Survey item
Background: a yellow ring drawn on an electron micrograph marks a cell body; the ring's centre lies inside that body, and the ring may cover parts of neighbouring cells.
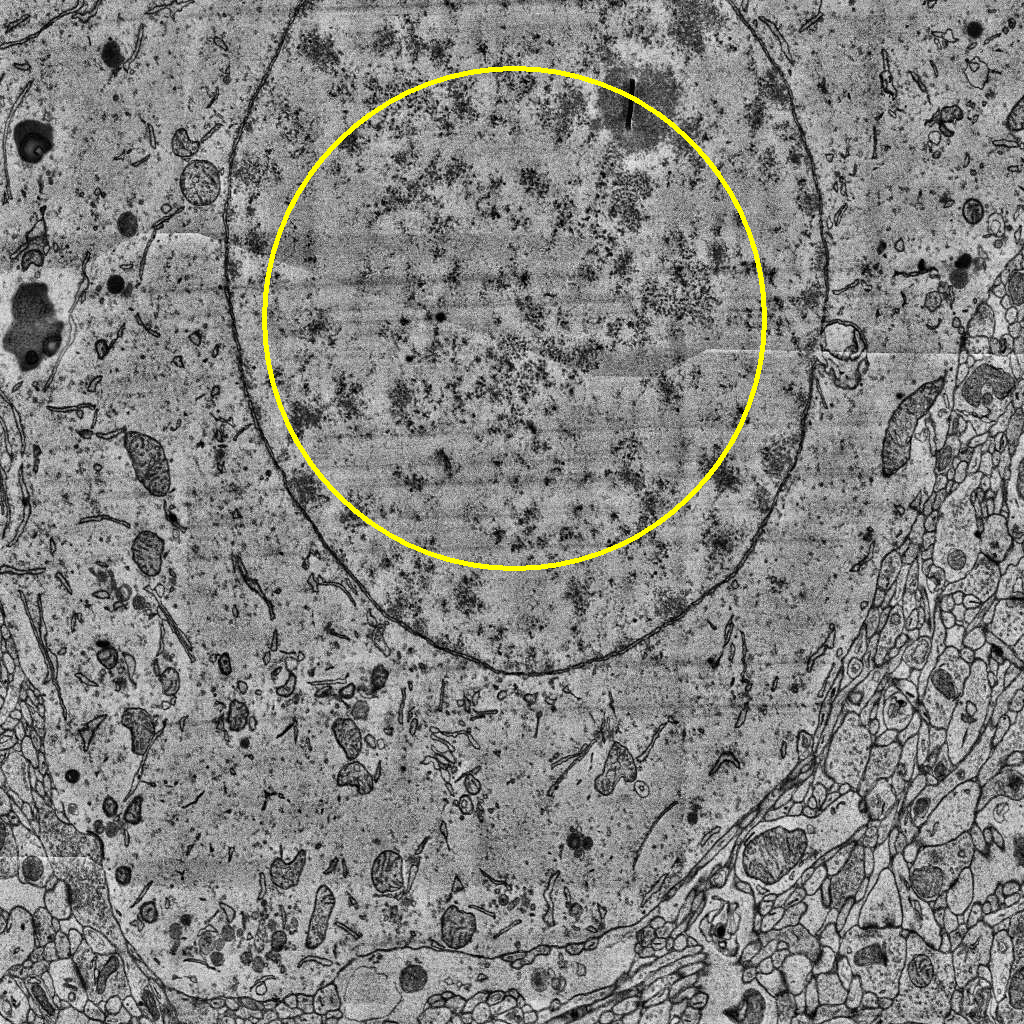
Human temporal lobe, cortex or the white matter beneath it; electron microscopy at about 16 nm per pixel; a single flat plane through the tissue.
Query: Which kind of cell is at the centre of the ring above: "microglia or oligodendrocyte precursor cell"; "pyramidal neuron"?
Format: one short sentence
The cell in the middle of the ring is a pyramidal neuron.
